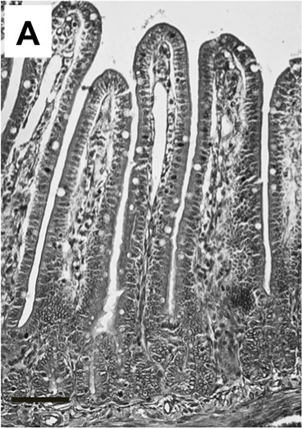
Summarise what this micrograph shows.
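This section of small intestine shows slender finger-like villi lined by a single layer of tall columnar enterocytes with dense cytoplasm and basal nuclei, lacking large supranuclear vacuoles. Scattered small pale goblet cells are interspersed in the epithelium. Each villus has a narrow cellular lamina propria core, and densely cellular crypts lie at the base above the muscle layer.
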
